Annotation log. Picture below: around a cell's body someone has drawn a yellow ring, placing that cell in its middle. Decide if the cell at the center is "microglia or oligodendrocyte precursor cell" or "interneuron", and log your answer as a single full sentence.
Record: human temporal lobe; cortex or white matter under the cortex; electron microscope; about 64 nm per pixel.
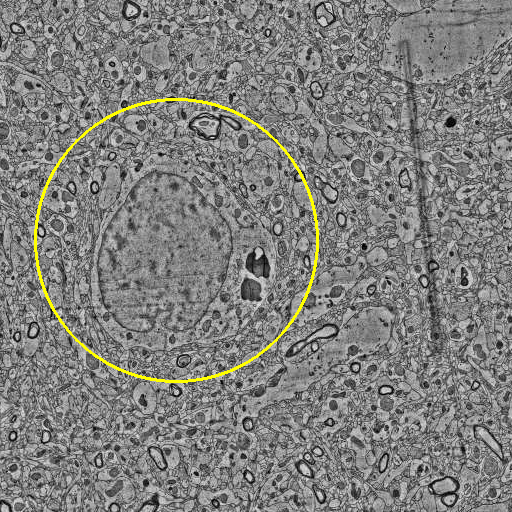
My entry records an interneuron as the cell sitting at the center of the yellow ring.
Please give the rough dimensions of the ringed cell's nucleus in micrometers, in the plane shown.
In this plane the nucleus measures roughly 10 by 8 micrometers.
